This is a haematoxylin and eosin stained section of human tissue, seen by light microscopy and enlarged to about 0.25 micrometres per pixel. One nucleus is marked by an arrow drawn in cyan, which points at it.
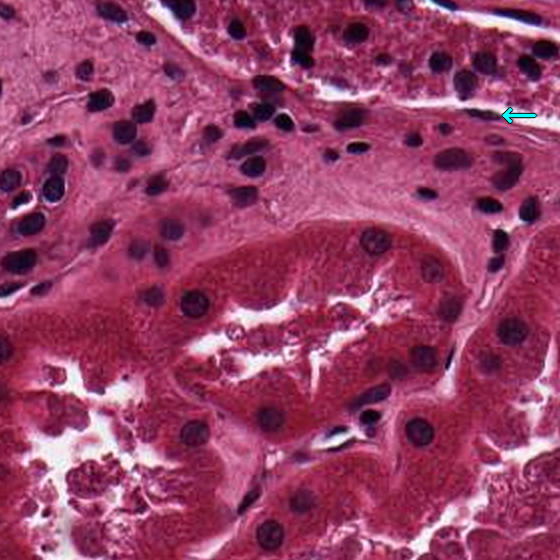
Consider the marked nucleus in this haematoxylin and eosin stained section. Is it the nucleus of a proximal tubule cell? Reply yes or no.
no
